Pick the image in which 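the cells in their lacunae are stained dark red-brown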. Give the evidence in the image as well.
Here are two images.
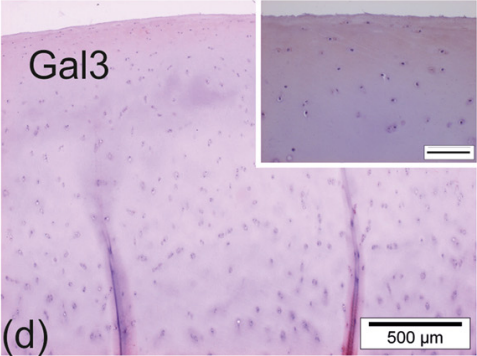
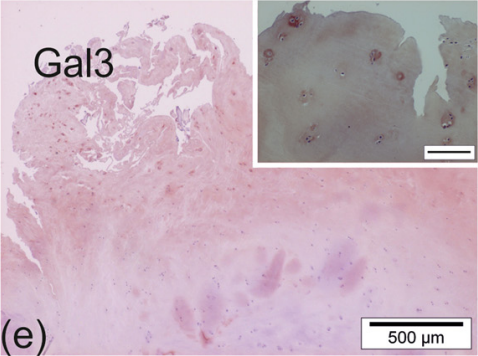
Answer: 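Second image: in the inset, the cells and their lacunae show dark red-brown rims.
The second image.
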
